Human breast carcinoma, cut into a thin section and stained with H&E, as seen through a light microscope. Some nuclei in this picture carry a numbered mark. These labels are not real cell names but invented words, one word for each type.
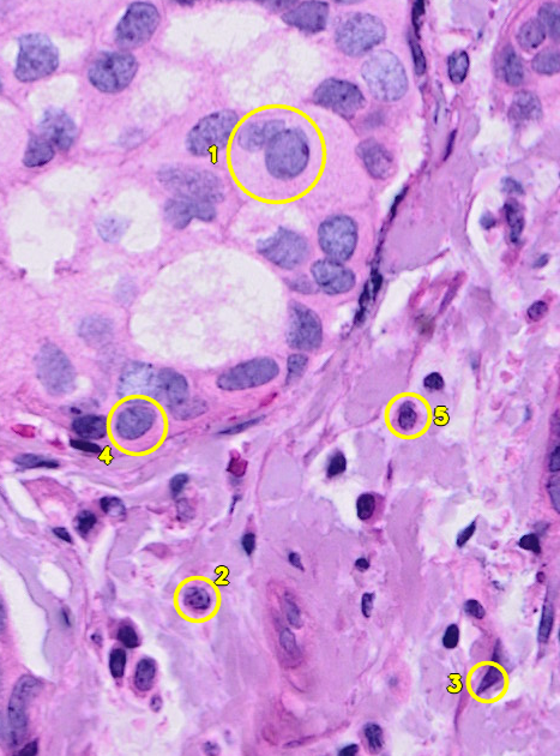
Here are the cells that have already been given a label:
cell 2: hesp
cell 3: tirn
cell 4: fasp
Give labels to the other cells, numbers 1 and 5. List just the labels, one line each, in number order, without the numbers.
fasp
hesp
